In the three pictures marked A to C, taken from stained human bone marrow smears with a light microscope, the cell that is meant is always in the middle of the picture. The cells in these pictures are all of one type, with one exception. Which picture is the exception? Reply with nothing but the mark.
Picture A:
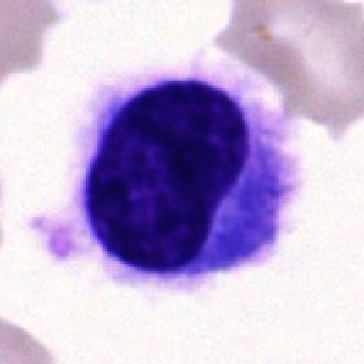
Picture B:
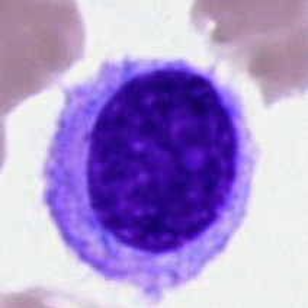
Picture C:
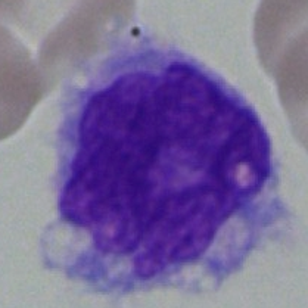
C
